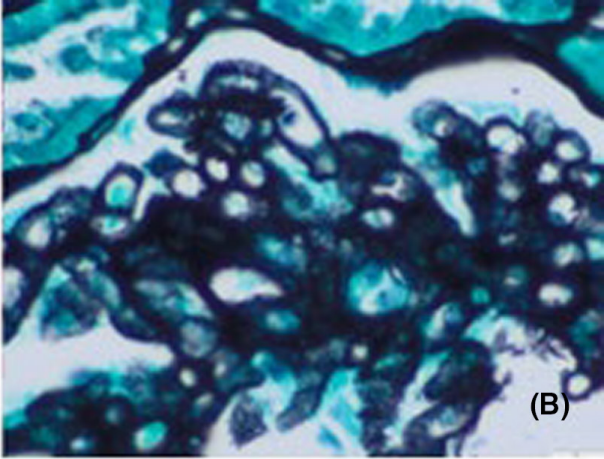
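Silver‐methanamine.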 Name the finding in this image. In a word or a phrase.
Moth‐eaten appearance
